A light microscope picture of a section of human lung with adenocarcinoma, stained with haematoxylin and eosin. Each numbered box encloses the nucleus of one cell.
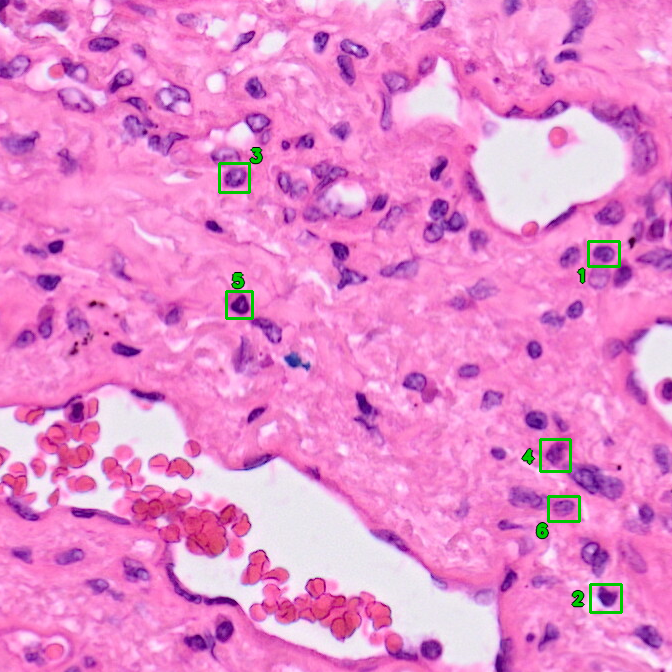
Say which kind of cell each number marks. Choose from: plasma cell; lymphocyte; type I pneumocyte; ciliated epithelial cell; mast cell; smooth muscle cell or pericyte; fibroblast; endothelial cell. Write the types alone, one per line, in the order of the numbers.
lymphocyte
lymphocyte
mast cell
plasma cell
plasma cell
mast cell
